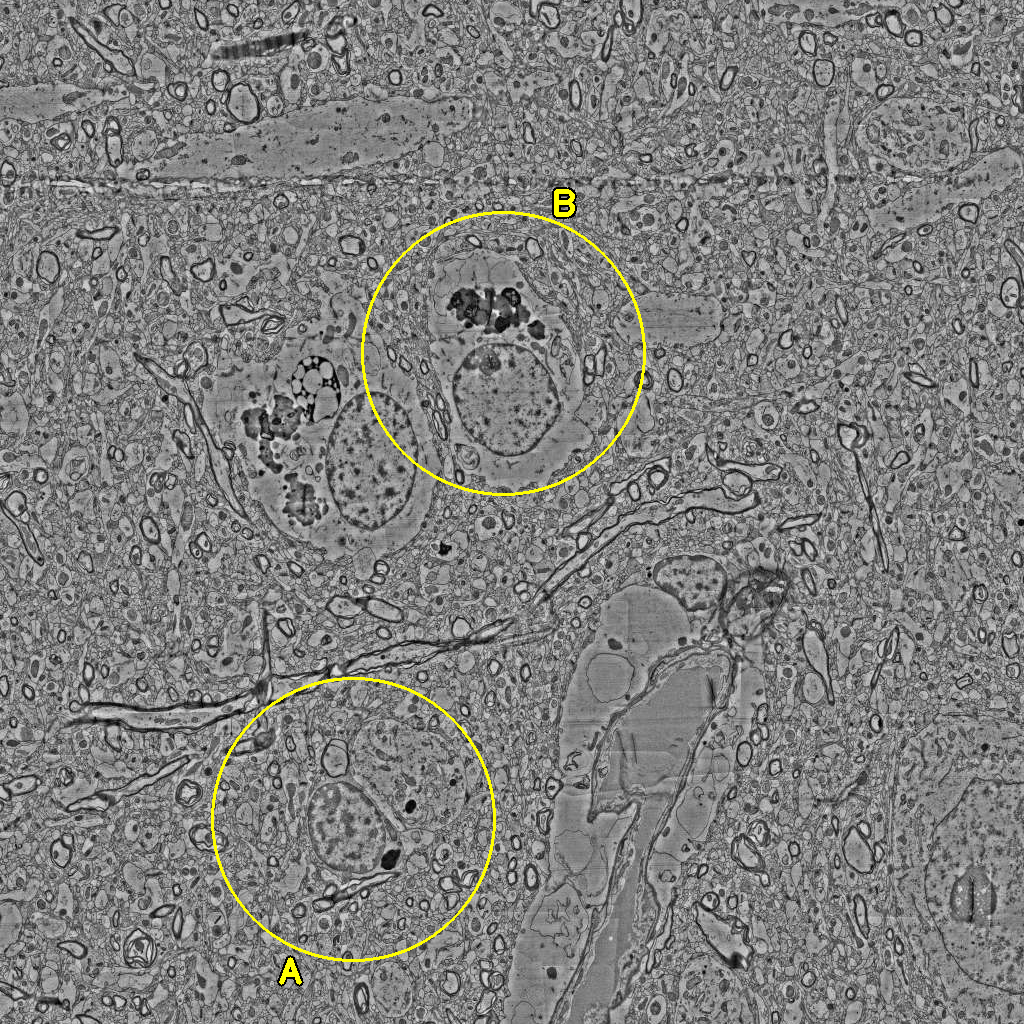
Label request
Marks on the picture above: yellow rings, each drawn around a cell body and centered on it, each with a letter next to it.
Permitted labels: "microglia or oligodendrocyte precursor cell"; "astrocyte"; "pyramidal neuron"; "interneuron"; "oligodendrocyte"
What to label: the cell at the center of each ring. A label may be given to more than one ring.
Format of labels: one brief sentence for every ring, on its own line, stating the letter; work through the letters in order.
The cell at the center of ring A is an oligodendrocyte.
The cell at the center of ring B is an astrocyte.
